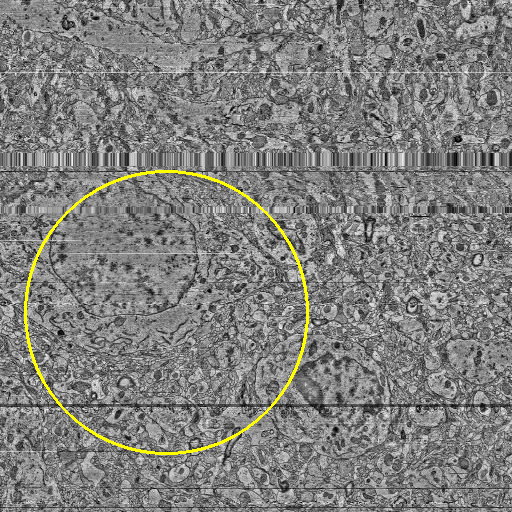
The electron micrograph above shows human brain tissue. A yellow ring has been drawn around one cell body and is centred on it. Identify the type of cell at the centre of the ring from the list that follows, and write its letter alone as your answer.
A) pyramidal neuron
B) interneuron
A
